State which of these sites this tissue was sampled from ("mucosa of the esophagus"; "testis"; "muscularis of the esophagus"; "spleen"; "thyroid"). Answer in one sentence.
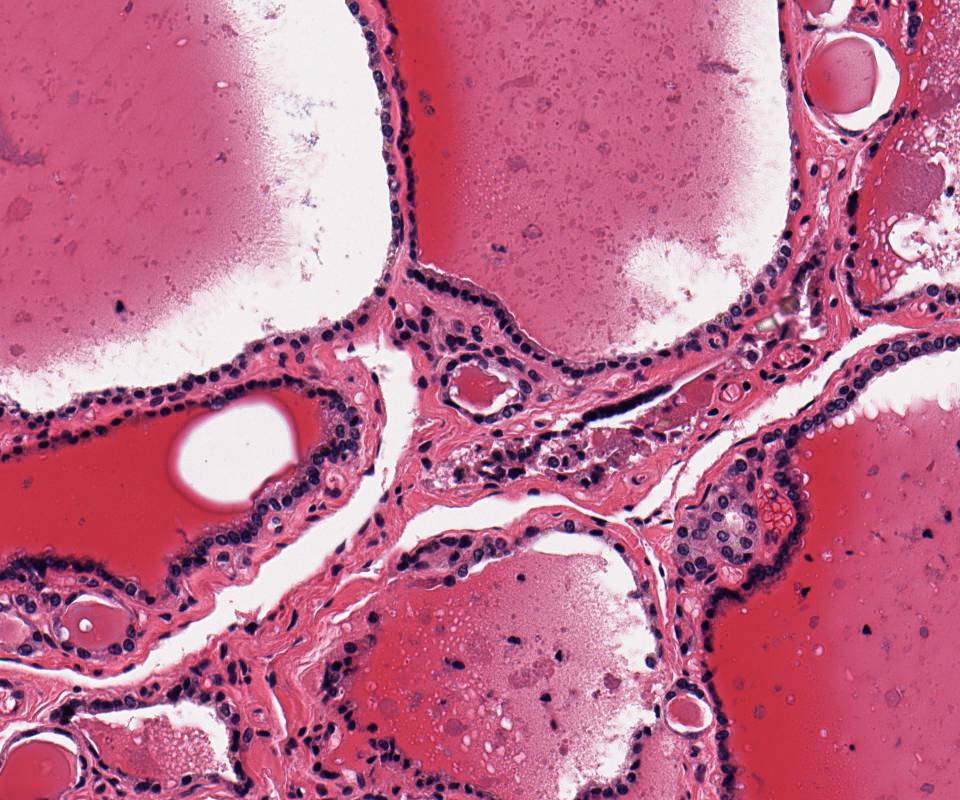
The site this tissue was sampled from is the thyroid.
